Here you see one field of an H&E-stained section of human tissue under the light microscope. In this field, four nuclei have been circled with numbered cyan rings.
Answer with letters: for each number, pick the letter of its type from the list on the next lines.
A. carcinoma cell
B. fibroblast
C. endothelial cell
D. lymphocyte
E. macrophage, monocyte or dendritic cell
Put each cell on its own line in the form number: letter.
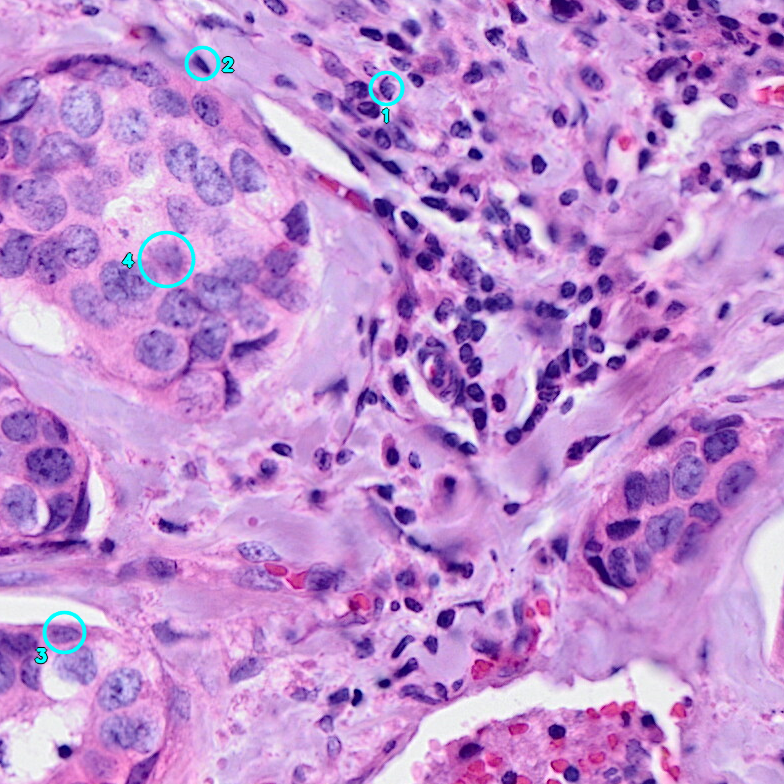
1: D
2: D
3: A
4: A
